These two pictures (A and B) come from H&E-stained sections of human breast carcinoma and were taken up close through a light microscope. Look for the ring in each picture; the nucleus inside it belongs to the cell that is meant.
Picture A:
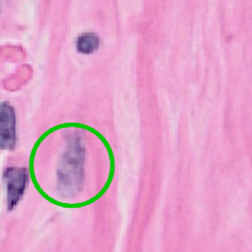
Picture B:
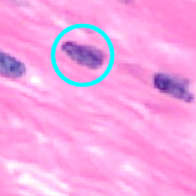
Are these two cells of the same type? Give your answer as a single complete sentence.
No; the cell in picture A is a fibroblast, while the one in picture B is a lymphocyte.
